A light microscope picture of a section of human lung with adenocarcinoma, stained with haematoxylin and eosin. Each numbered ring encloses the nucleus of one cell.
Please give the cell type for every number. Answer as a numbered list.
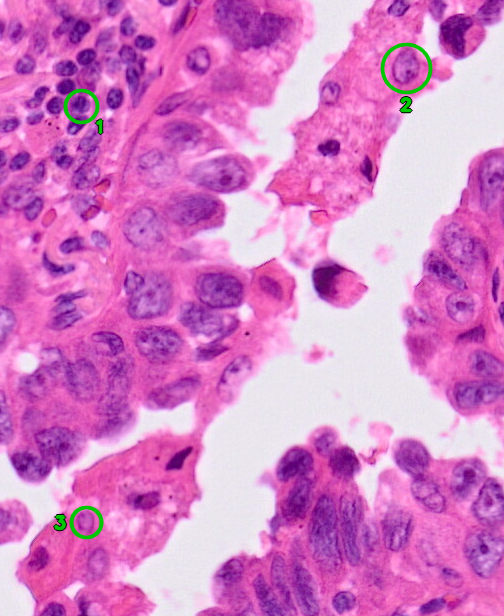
1. lymphocyte
2. macrophage or monocyte
3. macrophage or monocyte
